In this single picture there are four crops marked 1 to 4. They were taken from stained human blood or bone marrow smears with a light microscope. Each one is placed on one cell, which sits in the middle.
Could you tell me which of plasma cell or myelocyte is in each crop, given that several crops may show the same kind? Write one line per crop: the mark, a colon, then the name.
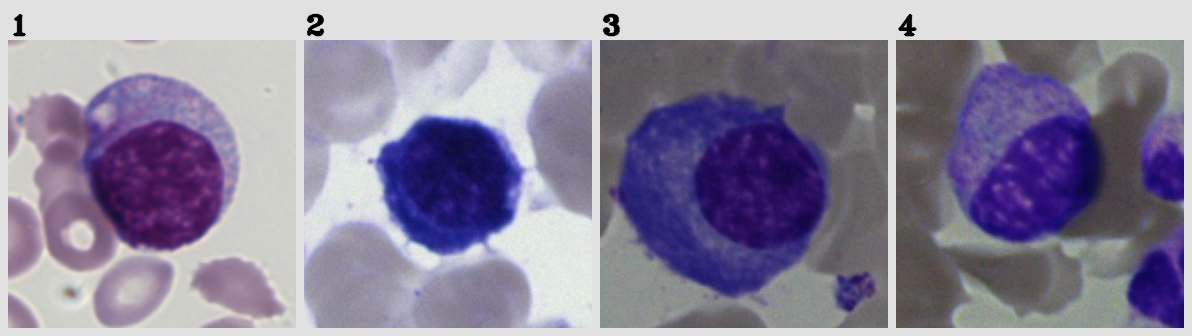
1: myelocyte
2: plasma cell
3: plasma cell
4: myelocyte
